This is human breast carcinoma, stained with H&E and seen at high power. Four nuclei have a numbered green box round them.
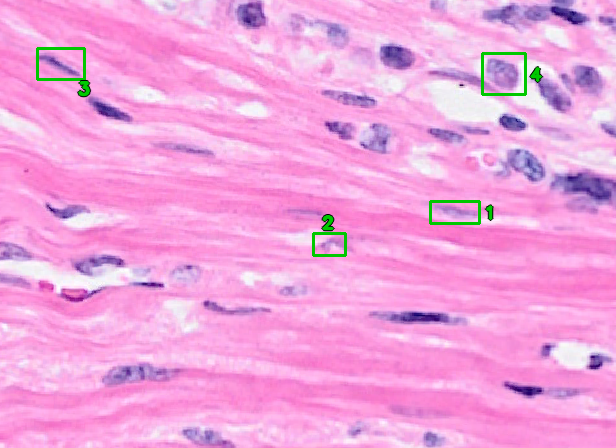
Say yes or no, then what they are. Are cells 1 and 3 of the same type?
Yes, both are fibroblasts.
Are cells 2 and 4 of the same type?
No, cell 2 is a fibroblast and cell 4 is a carcinoma cell.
